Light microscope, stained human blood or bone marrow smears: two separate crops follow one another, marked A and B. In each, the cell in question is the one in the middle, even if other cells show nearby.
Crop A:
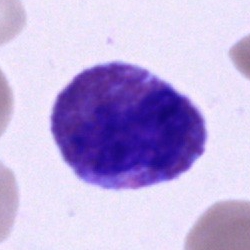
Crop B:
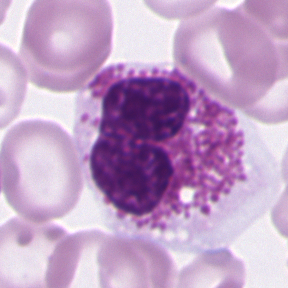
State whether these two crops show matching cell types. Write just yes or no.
yes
